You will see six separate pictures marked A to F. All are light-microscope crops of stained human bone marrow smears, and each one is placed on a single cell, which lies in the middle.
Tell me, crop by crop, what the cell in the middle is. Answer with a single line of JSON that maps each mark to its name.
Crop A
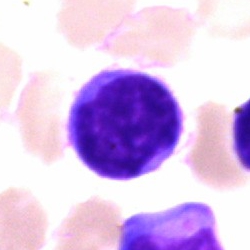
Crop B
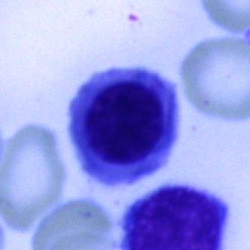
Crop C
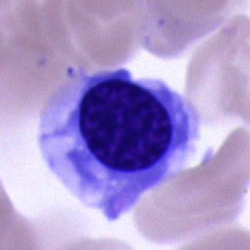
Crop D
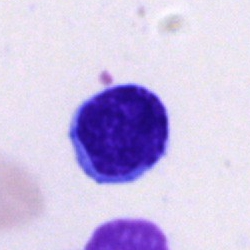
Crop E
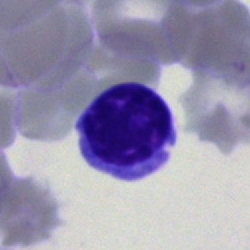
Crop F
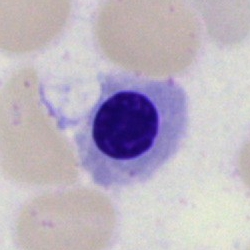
{"A": "lymphocyte", "B": "erythroblast", "C": "erythroblast", "D": "lymphocyte", "E": "lymphocyte", "F": "erythroblast"}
